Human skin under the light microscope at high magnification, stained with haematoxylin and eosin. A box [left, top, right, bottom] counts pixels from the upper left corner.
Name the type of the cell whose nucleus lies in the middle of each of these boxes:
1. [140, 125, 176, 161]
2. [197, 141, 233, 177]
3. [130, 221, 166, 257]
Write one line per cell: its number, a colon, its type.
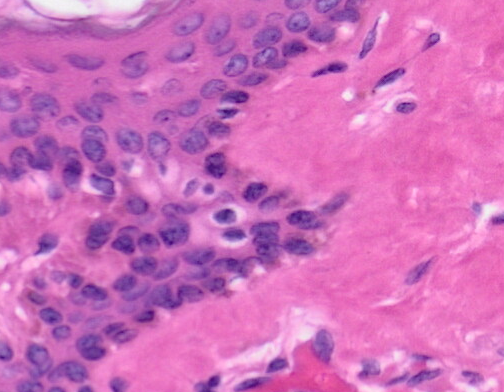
1: suprabasal keratinocyte
2: basal keratinocyte
3: basal keratinocyte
